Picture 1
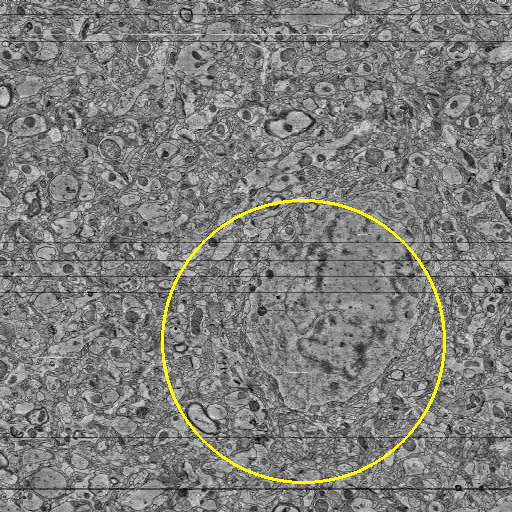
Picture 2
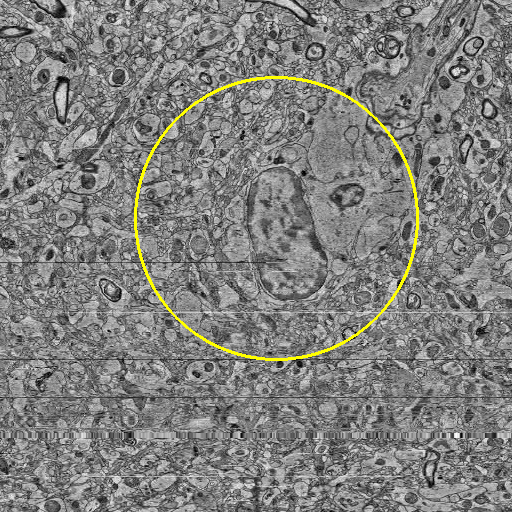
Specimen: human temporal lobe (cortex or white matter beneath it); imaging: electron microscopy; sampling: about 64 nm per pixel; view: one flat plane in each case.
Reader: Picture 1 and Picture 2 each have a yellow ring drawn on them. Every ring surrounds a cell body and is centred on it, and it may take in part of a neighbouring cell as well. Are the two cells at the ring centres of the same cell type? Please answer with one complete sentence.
No, the cells are of two cell types.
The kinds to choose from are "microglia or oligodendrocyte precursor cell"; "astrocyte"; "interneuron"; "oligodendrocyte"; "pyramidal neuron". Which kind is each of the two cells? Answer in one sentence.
Of the two, the first cell is an interneuron and the second cell is a microglial cell or oligodendrocyte precursor cell.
